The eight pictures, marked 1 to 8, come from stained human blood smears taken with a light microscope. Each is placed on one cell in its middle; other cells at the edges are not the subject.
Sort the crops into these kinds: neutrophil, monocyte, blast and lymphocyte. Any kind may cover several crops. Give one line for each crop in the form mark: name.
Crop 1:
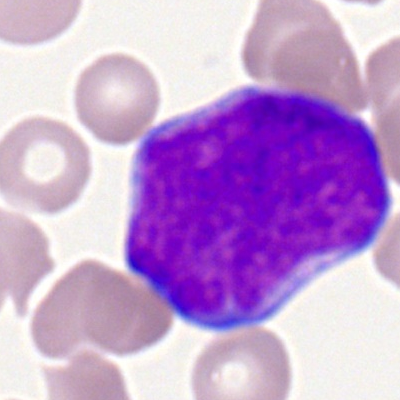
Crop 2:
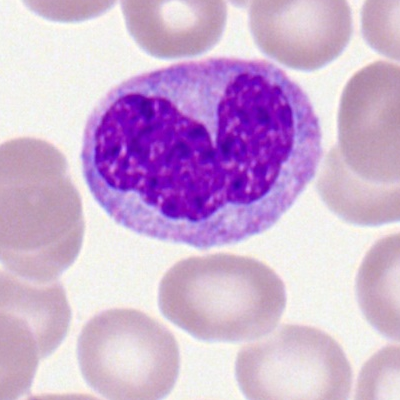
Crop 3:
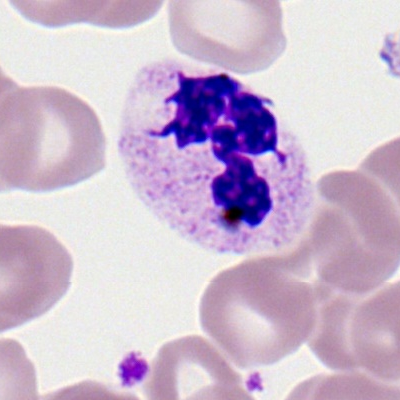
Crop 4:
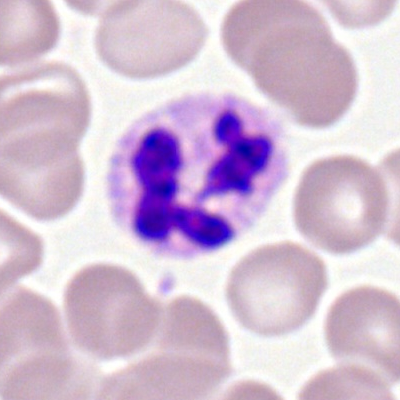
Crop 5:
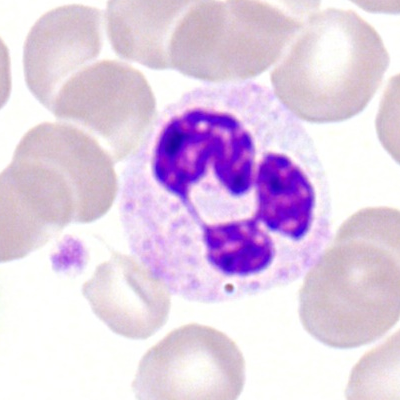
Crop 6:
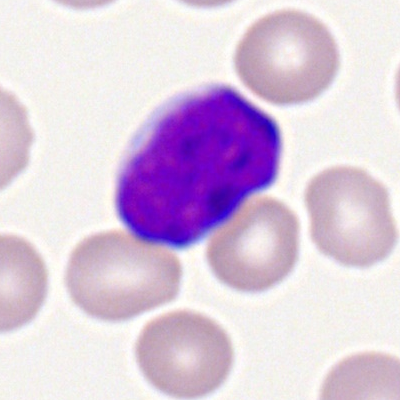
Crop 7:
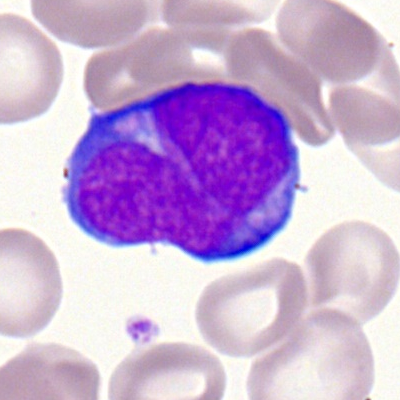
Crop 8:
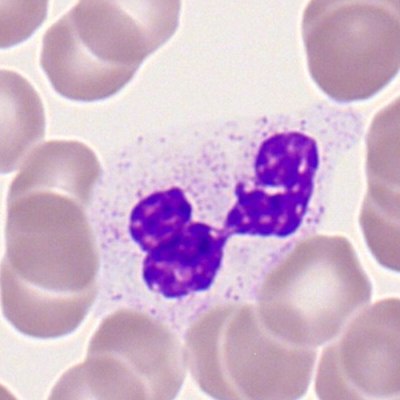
1: blast
2: monocyte
3: neutrophil
4: neutrophil
5: neutrophil
6: blast
7: blast
8: neutrophil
